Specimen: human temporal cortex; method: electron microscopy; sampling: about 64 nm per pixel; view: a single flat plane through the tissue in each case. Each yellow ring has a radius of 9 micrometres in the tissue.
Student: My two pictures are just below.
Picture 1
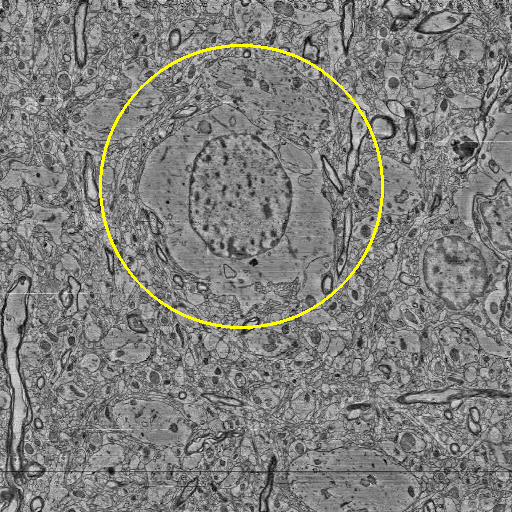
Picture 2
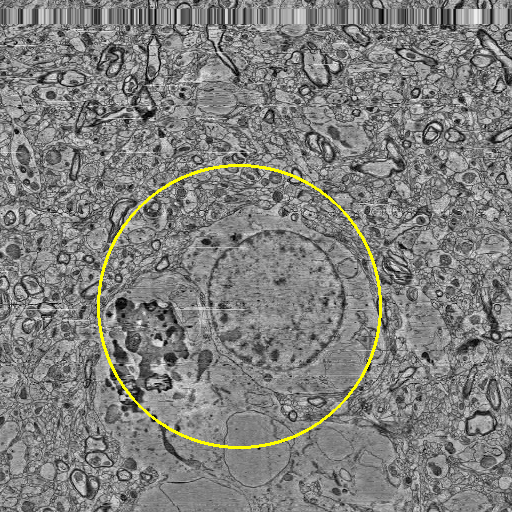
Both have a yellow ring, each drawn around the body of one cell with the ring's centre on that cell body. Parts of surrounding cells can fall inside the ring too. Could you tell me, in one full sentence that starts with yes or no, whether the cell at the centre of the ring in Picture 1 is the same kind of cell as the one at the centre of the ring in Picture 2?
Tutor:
Yes, the two cells are of the same kind.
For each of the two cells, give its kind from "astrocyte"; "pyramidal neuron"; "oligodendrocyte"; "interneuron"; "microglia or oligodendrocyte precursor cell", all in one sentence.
The second cell is an astrocyte, just as the first is.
